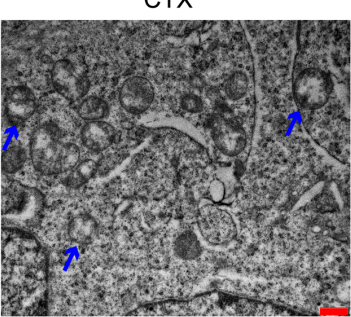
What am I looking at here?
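Some show lighter, cleared areas inside. Cell membranes and the edge of a nucleus run across the field as thin dark lines. These rounded, pale mitochondria with poorly preserved cristae fit irregular, damaged mitochondria.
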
